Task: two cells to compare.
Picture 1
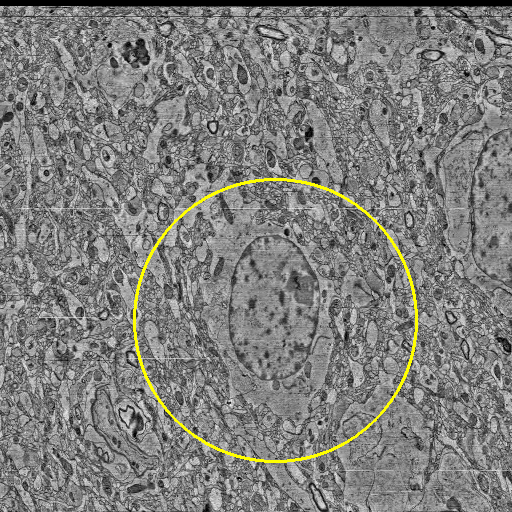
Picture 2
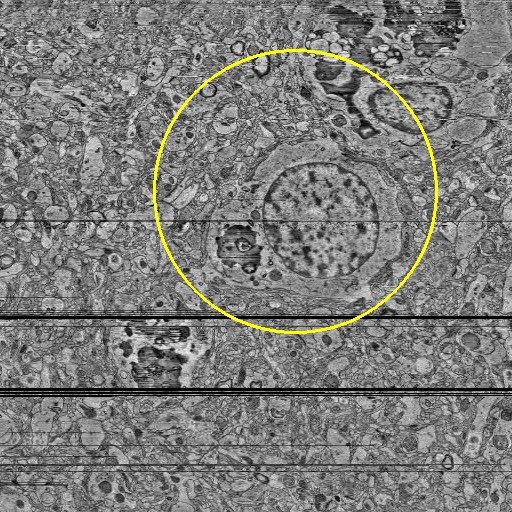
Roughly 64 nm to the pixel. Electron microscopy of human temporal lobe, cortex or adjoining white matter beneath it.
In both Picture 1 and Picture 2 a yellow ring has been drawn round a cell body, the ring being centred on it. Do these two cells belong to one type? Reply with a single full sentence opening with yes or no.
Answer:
Yes, the two cells at the ring centres in Picture 1 and Picture 2 share one type.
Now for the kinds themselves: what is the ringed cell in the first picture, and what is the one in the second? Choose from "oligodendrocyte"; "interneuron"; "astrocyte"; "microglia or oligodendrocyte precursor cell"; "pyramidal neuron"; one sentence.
Both cells are the same kind, each one being an astrocyte.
